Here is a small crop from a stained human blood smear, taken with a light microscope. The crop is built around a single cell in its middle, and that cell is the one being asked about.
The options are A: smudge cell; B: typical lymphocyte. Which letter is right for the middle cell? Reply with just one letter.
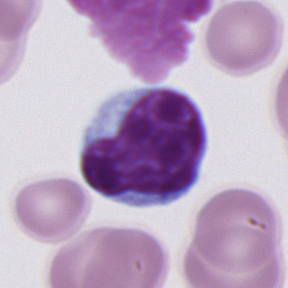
B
